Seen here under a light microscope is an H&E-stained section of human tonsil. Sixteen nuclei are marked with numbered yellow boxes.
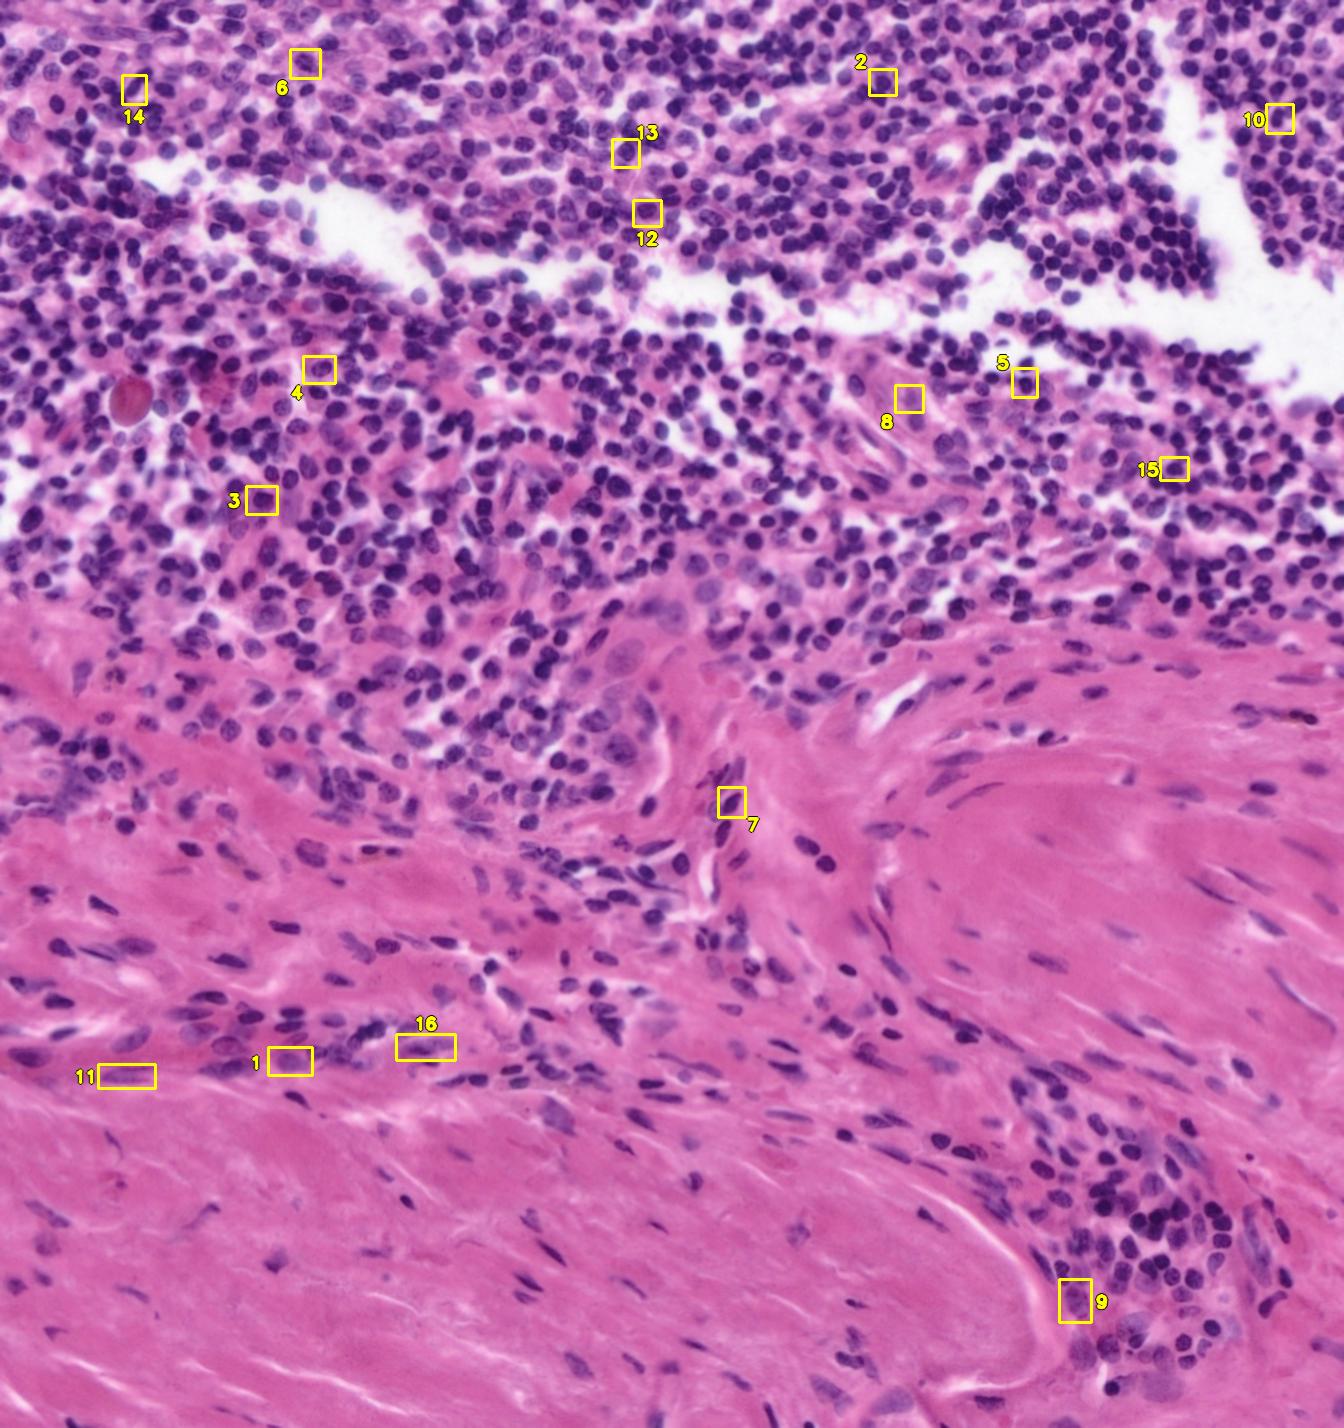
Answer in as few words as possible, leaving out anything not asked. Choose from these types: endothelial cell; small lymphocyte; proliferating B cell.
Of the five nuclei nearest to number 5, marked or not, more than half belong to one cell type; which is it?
proliferating B cell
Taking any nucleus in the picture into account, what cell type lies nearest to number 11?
endothelial cell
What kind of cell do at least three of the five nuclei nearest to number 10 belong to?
small lymphocyte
